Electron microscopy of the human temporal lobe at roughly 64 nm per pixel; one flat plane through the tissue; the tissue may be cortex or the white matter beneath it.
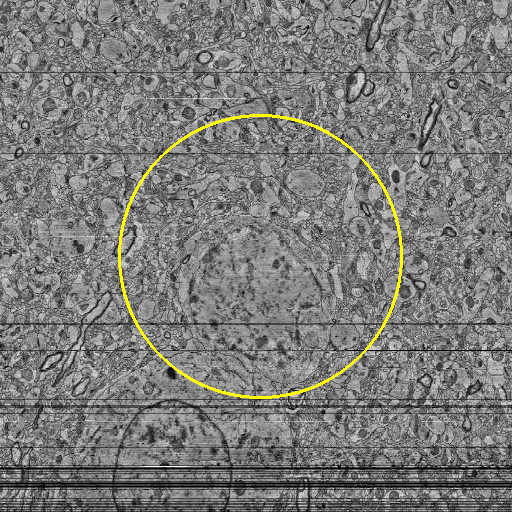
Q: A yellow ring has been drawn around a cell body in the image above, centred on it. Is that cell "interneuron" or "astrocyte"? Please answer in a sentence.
The ring surrounds the cell body of an interneuron.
